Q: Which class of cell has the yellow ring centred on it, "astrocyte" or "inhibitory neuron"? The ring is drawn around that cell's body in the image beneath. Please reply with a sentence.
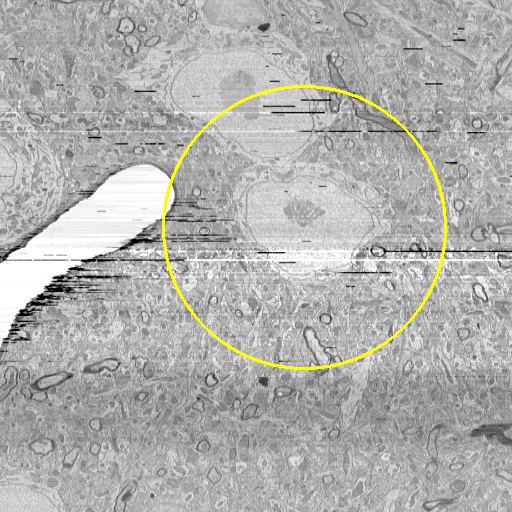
It is centred on an inhibitory neuron.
